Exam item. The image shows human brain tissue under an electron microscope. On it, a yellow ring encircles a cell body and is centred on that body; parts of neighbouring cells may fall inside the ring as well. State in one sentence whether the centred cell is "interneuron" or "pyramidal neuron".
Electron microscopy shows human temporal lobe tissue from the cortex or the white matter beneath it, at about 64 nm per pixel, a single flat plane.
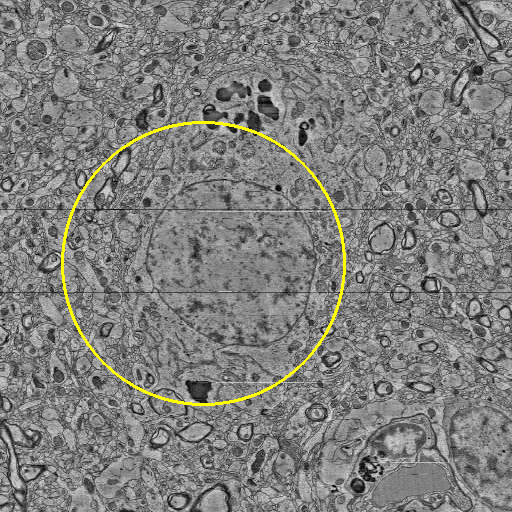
The cell body centred in the ring is a pyramidal neuron.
